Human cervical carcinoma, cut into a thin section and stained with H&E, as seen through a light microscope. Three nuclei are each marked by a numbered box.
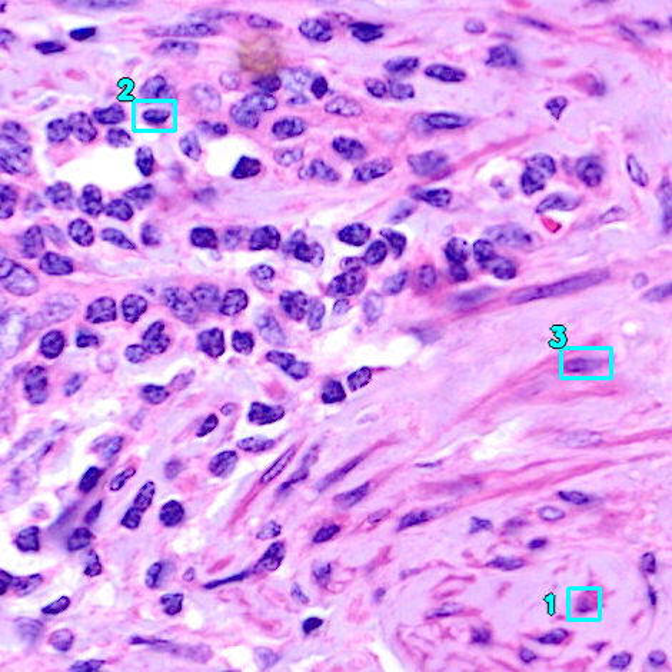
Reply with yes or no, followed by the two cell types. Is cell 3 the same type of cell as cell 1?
Yes, both are smooth muscle cells.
